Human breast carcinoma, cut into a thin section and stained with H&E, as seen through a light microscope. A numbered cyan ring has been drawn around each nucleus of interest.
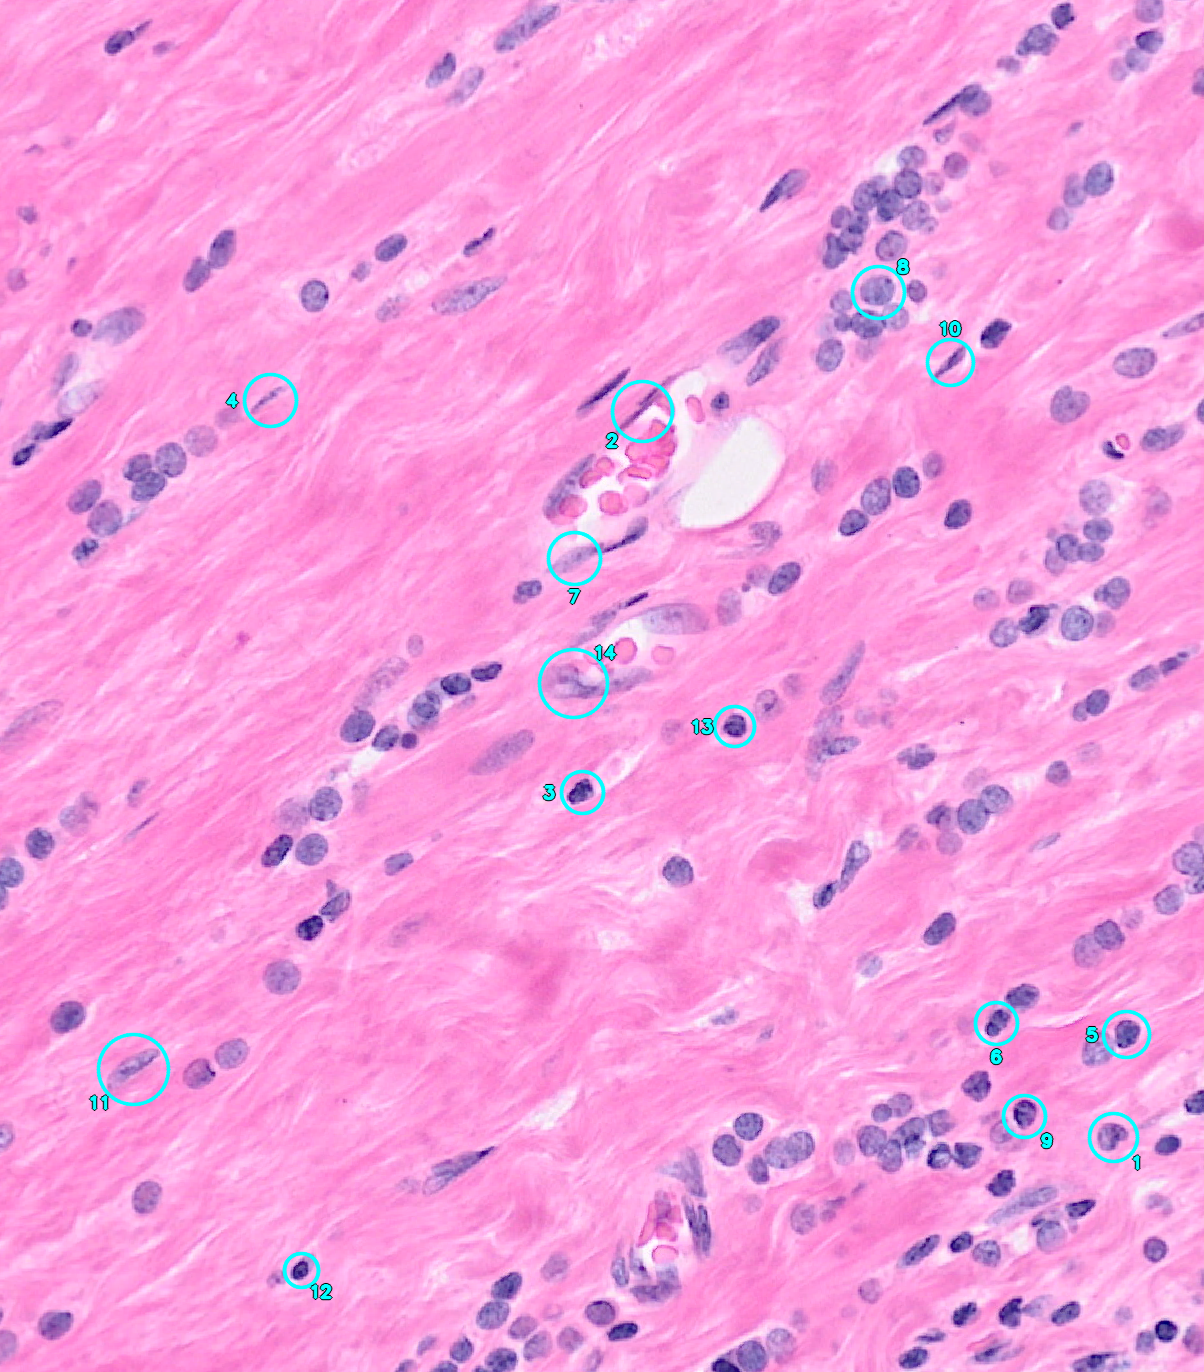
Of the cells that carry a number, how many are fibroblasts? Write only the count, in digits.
3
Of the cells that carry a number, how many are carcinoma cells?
1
